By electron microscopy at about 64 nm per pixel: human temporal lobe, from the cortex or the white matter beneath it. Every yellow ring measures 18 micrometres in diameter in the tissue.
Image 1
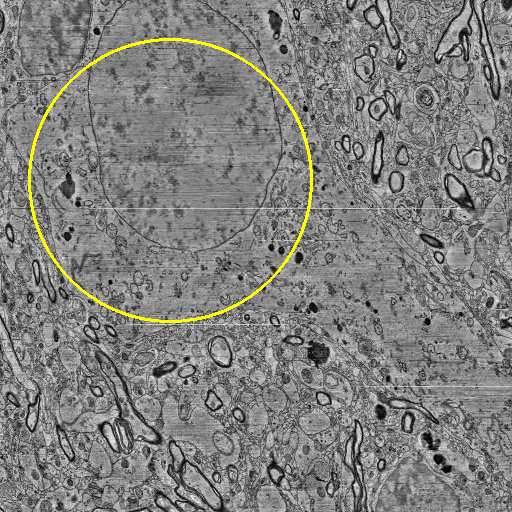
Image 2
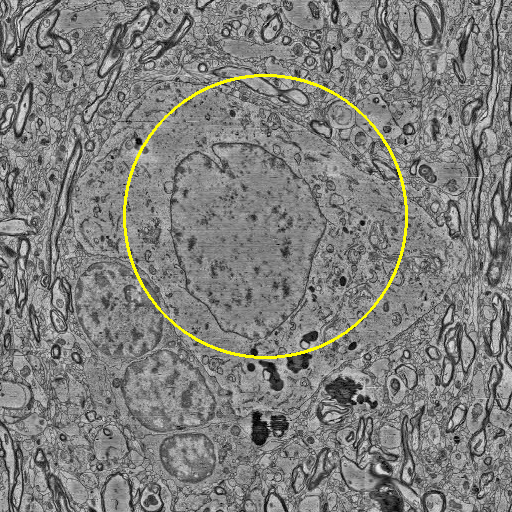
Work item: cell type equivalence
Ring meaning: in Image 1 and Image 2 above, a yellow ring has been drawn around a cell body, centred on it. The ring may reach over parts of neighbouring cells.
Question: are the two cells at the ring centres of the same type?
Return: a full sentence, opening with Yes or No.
Yes, the two centred cells are of the same type.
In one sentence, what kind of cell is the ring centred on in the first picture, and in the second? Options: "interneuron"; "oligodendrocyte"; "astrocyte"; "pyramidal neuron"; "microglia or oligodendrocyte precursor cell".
Each one of the two ringed cells is a pyramidal neuron.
